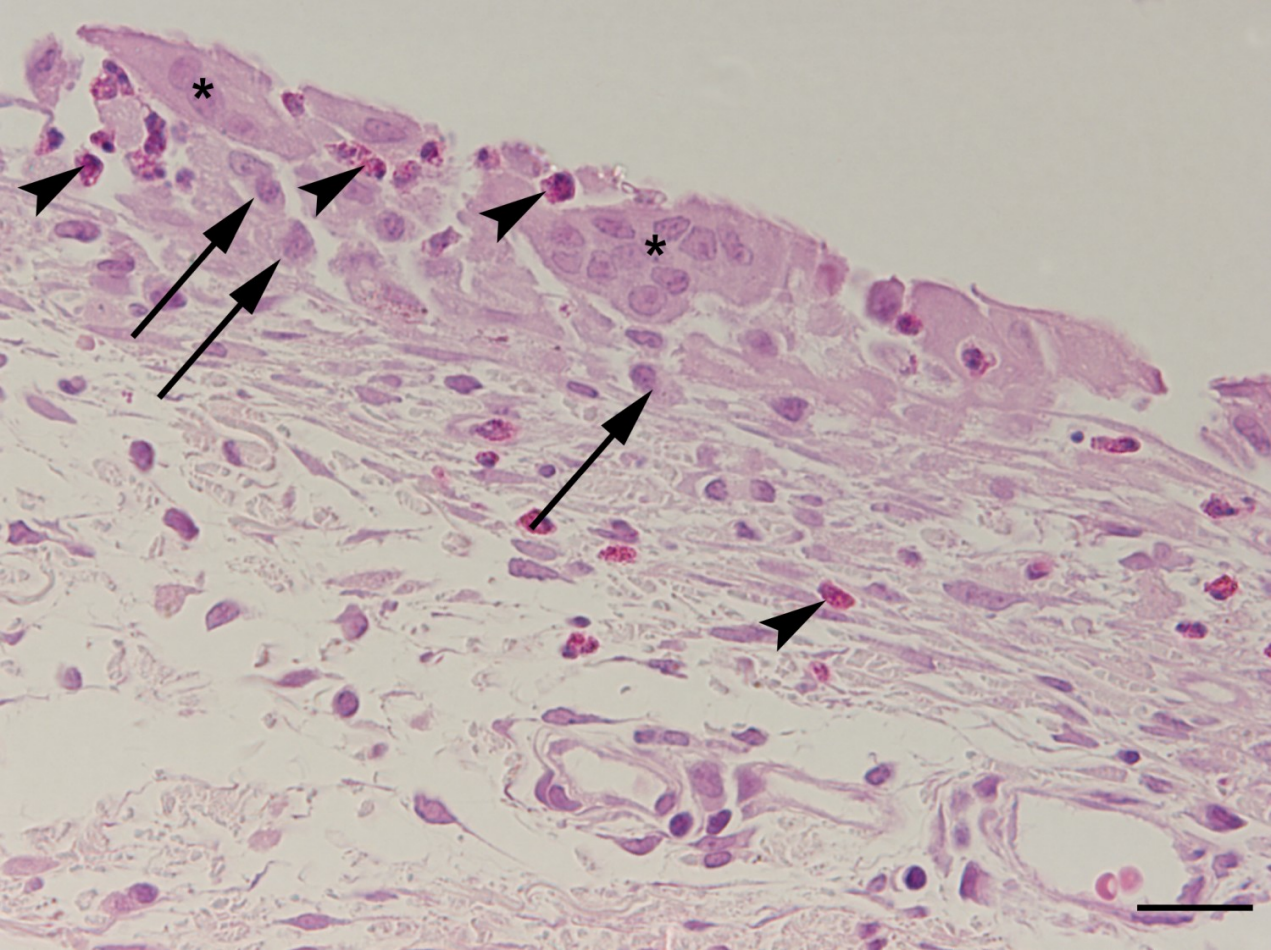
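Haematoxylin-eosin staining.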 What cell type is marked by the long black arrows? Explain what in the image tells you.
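Macrophages. The arrows point to single-nucleated cells with a round to oval nucleus. These cells have pale pink cytoplasm. They lie in the cell layer along the surface.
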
